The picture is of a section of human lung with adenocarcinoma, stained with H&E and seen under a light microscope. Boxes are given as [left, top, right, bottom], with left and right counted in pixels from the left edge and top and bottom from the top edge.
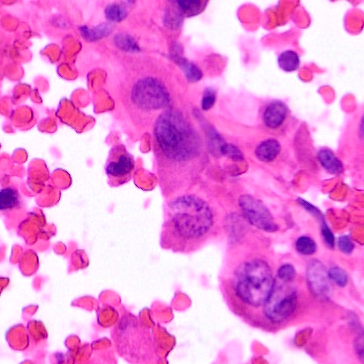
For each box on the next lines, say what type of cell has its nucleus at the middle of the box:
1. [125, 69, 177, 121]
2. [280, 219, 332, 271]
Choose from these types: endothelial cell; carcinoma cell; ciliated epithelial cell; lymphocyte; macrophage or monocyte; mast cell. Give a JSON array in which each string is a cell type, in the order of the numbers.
["carcinoma cell", "lymphocyte"]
